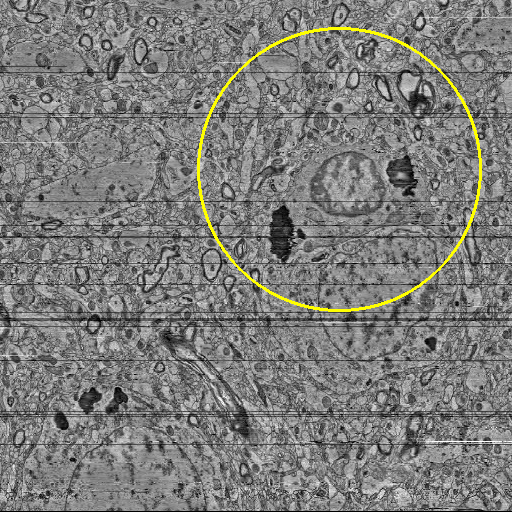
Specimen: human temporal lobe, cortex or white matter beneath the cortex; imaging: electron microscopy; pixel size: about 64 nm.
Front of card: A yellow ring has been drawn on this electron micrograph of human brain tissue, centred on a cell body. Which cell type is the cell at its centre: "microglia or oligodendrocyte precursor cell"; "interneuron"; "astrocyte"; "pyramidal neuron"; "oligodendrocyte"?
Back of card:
oligodendrocyte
